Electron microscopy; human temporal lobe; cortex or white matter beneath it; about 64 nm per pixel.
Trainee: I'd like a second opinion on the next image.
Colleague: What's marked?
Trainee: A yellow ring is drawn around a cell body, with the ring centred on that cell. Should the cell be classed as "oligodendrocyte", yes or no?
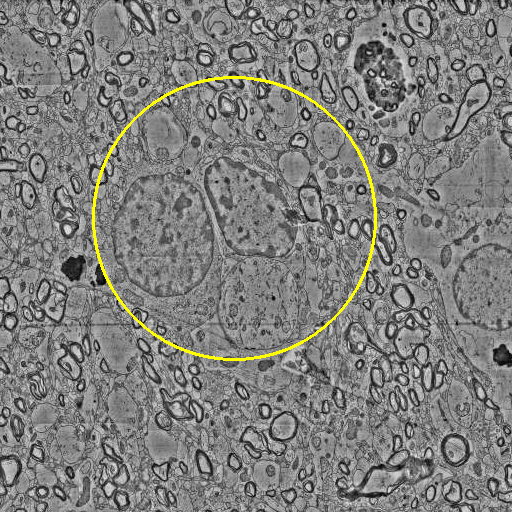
No, it should be classed as another kind.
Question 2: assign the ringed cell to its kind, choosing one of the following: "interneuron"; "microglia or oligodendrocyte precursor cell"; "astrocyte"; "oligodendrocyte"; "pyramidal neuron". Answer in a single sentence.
The cell in question here is a microglial cell or oligodendrocyte precursor cell.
